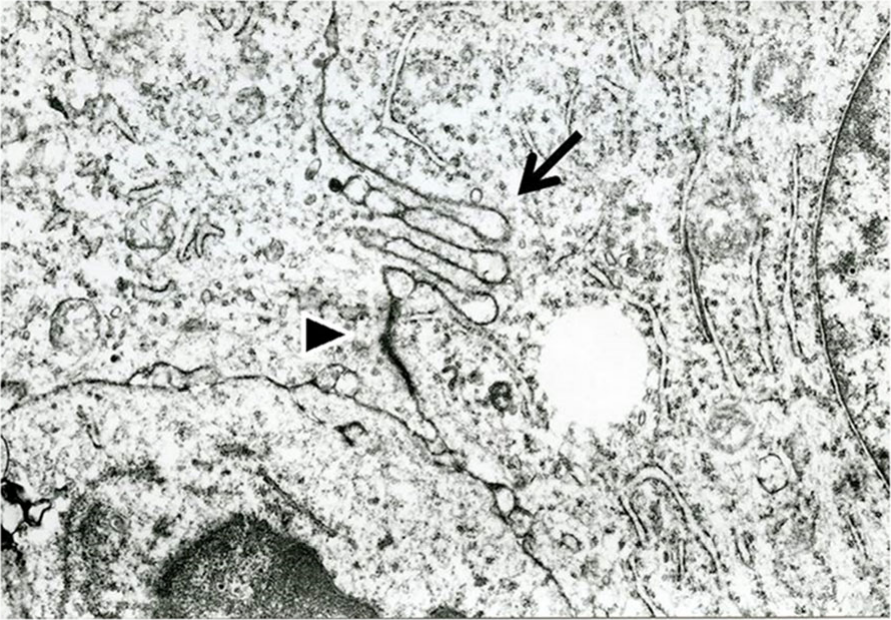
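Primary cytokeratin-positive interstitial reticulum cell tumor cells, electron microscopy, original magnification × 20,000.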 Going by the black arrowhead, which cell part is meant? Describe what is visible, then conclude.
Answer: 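A short, dense dark line runs along the membrane where two cells meet. The dense plaque is thicker and darker than the neighbouring cell membrane. So: desmosome-like junctions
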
